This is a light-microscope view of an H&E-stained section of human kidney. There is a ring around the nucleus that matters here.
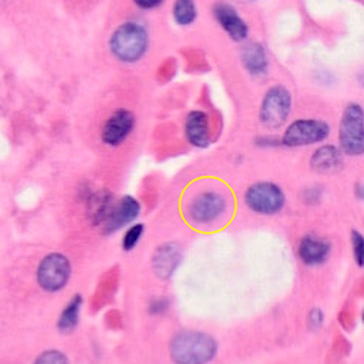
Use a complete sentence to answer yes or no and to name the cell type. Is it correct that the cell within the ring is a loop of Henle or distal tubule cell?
Yes, the cell within the ring is properly called a loop of Henle or distal tubule cell in this section.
